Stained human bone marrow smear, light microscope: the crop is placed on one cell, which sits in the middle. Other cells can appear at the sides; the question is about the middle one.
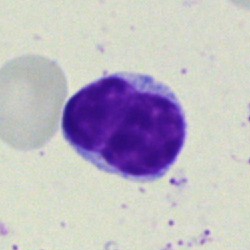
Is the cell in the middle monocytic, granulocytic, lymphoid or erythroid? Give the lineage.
lymphoid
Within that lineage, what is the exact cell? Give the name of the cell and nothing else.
lymphocyte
